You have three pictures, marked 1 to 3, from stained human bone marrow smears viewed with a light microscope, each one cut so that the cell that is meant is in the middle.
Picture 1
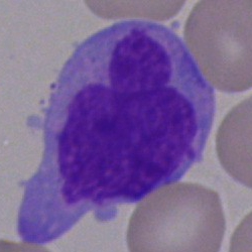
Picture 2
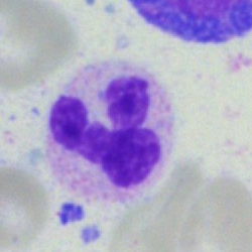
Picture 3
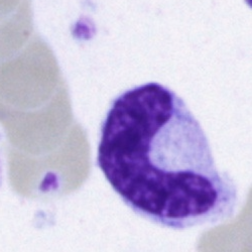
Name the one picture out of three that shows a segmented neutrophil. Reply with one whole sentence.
The picture with the segmented neutrophil is 2.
